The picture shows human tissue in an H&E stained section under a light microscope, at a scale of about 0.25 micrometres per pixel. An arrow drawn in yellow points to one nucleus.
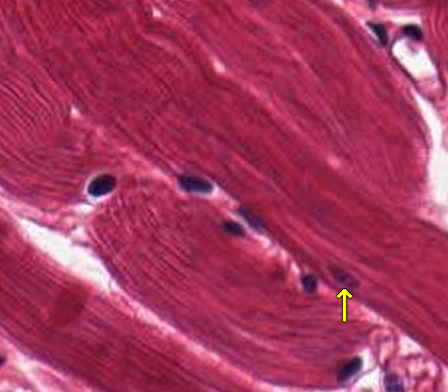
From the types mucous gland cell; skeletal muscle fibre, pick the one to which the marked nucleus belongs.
skeletal muscle fibre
